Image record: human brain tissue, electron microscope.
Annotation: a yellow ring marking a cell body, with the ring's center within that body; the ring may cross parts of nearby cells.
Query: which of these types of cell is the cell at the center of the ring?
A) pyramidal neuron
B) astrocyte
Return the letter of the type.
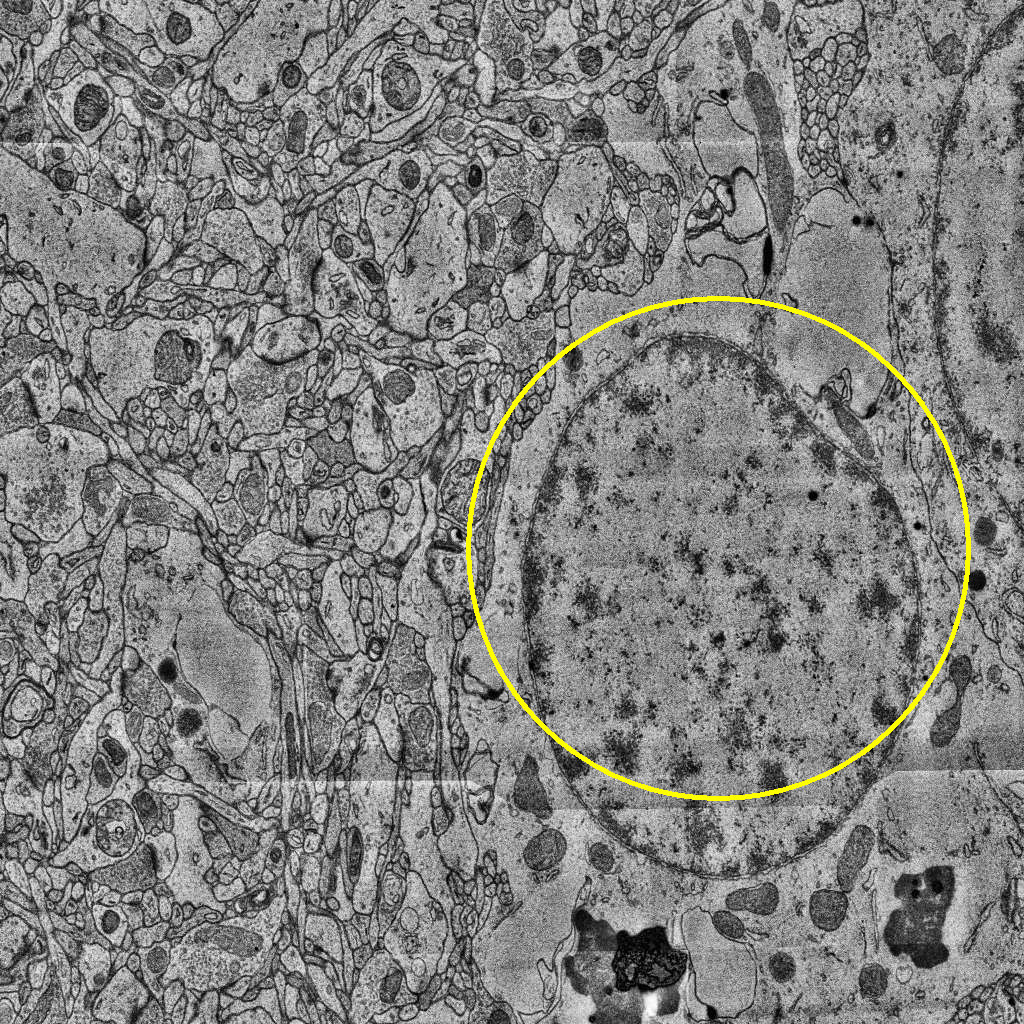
B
